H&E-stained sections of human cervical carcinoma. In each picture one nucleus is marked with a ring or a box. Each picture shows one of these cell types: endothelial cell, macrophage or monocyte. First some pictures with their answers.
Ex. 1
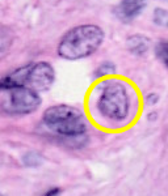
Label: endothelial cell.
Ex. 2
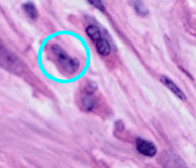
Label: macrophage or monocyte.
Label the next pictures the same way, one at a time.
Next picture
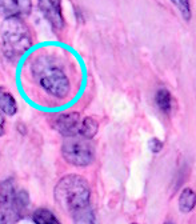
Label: endothelial cell.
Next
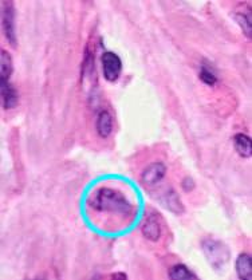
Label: macrophage or monocyte.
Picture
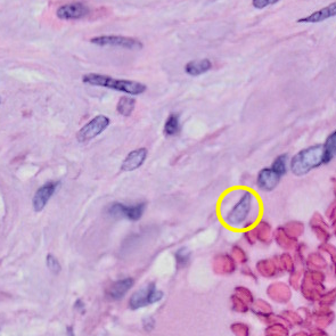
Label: endothelial cell.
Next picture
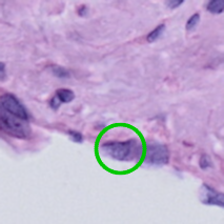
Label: endothelial cell.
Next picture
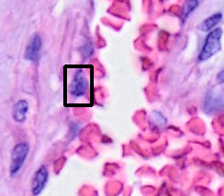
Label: endothelial cell.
